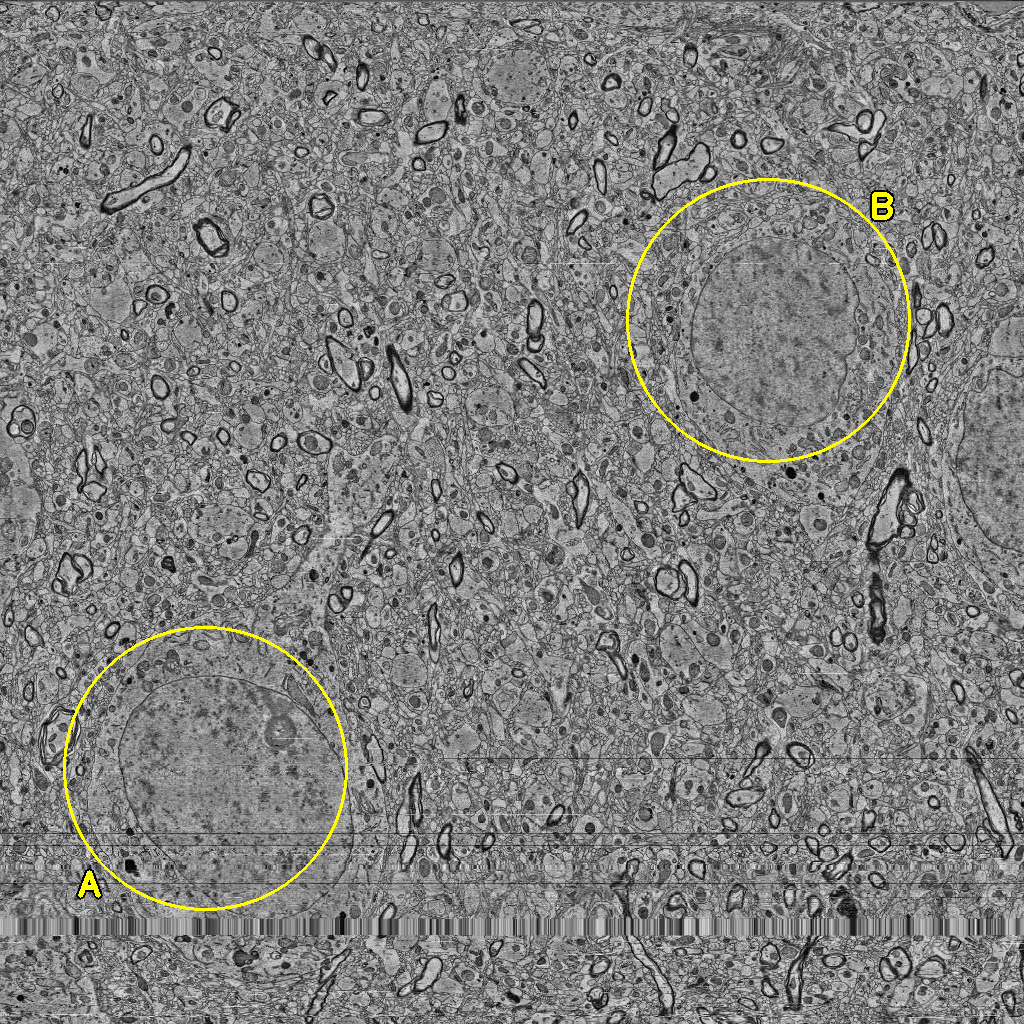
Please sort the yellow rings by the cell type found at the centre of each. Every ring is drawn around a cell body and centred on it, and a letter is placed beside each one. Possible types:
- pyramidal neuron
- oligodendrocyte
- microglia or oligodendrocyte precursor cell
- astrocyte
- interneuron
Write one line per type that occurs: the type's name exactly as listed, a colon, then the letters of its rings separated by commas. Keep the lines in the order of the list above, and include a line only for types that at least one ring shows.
pyramidal neuron: A
interneuron: B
